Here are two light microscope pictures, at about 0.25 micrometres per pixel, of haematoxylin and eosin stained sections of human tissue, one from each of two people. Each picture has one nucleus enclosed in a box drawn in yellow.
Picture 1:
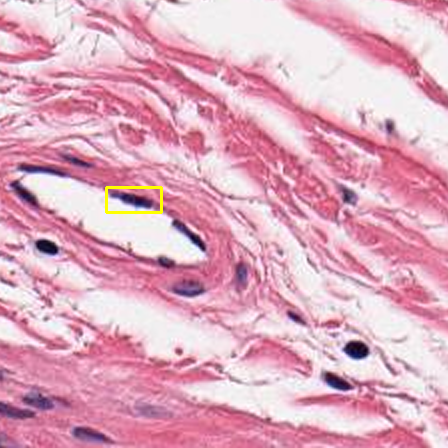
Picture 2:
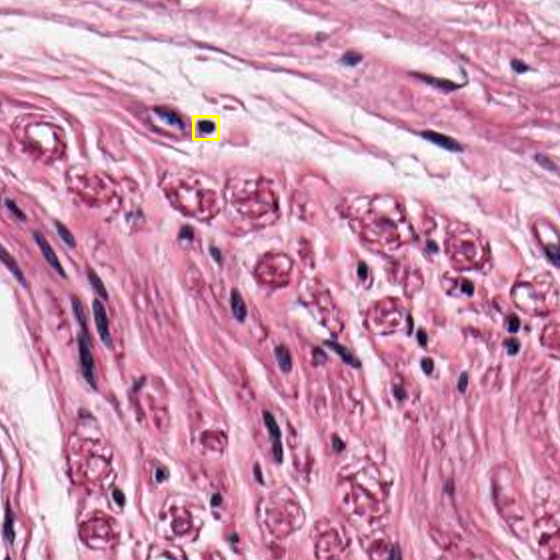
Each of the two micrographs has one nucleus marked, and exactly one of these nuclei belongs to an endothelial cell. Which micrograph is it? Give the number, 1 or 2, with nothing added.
1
